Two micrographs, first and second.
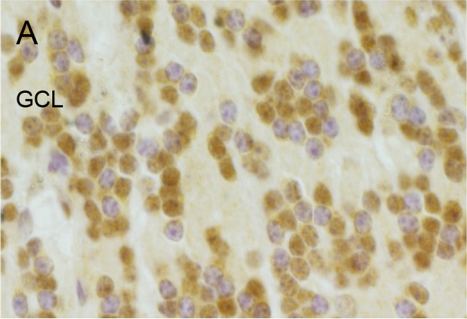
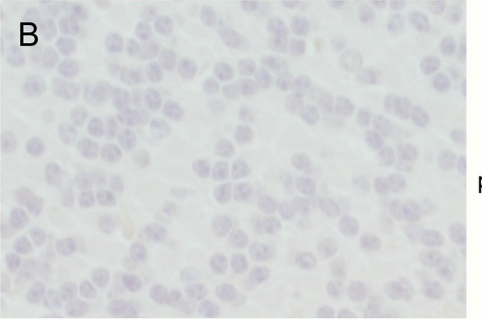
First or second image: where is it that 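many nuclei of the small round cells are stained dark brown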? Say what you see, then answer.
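Second image: all nuclei are pale blue-purple with no brown colour. First image: many of the small round nuclei are filled with dark brown stain.
Conclusion: the first image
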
